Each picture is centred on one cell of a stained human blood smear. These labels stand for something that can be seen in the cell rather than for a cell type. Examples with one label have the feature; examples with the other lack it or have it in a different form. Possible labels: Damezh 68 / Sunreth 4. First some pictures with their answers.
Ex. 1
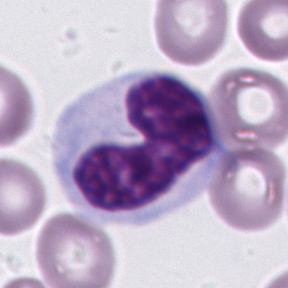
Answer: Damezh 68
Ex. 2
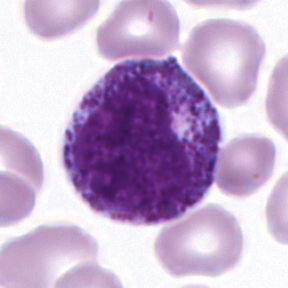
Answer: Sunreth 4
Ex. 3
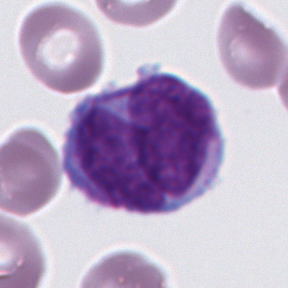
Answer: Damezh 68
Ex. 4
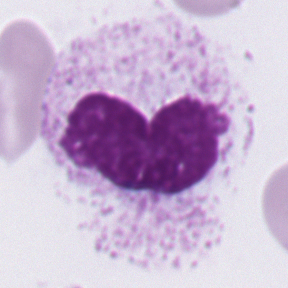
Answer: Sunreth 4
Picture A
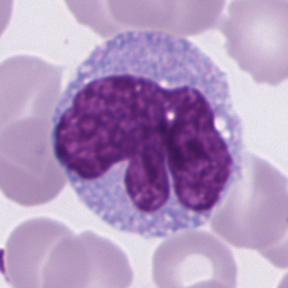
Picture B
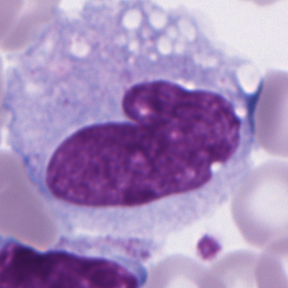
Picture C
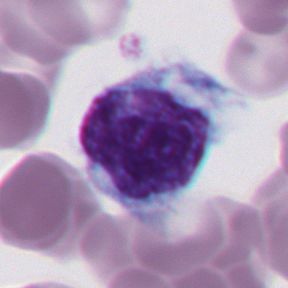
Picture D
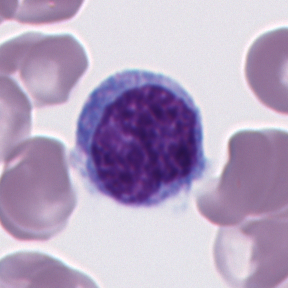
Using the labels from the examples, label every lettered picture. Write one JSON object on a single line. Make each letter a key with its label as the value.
{"A": "Sunreth 4", "B": "Sunreth 4", "C": "Damezh 68", "D": "Damezh 68"}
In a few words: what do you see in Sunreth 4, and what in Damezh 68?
Seen in Sunreth 4: many visible granules; seen in Damezh 68: no visible granules.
